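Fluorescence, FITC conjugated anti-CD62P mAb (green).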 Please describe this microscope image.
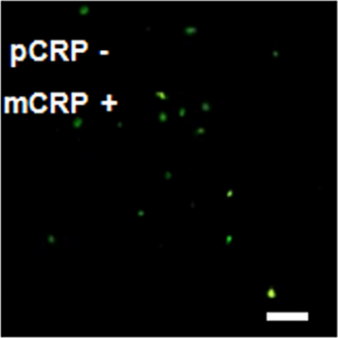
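The dots are round to slightly oval and very small, well under the length of the scale bar. They lie singly and are spread across the whole field without forming clumps. Some dots are brighter and a few appear yellowish-green. No other structures are visible in the field.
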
